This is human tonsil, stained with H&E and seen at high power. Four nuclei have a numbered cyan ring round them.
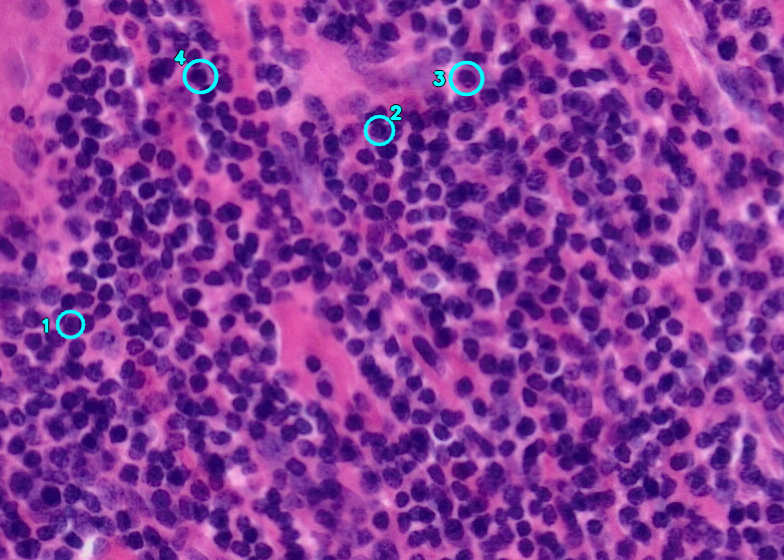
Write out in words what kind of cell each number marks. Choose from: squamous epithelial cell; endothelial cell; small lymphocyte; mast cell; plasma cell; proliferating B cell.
Cells 1, 2 and 4 are small lymphocytes. Cell 3 is a plasma cell.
